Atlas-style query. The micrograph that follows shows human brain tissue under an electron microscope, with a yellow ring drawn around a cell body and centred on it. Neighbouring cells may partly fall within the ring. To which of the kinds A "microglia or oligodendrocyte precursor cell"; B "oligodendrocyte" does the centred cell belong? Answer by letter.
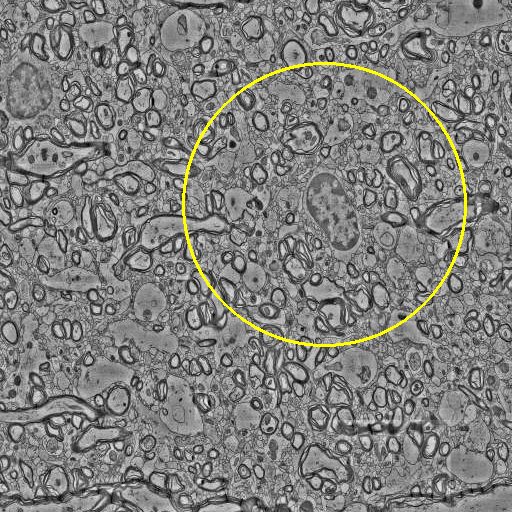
A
